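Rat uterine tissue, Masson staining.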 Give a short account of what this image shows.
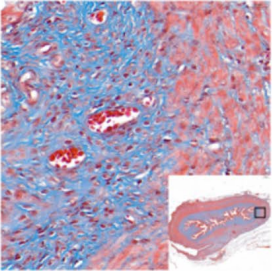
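Among the fibres lie elongated and ovoid cells with dark nuclei. Red-stained tissue with spindle-shaped cells remains mainly toward the right side and in small patches. Small blood vessels containing red blood cells appear near the centre, surrounded by blue fibrous tissue.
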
